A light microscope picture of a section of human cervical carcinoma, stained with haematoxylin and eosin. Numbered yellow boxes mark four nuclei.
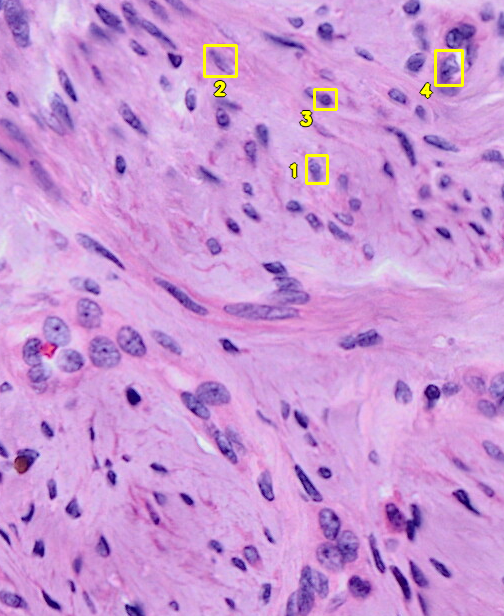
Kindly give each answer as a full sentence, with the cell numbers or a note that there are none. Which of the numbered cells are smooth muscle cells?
The numbers 1, 2 and 3 mark cells that are smooth muscle cells.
